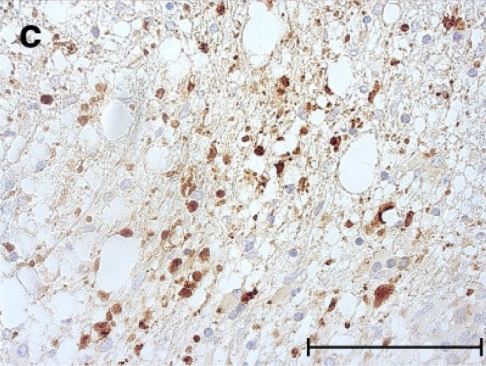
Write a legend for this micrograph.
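The tissue is loose and spongy, with many clear round vacuoles of different sizes. Scattered throughout are rounded, swollen brown bodies and finer brown granular deposits, lying among pale blue nuclei. The normal compact fibre pattern is lost.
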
